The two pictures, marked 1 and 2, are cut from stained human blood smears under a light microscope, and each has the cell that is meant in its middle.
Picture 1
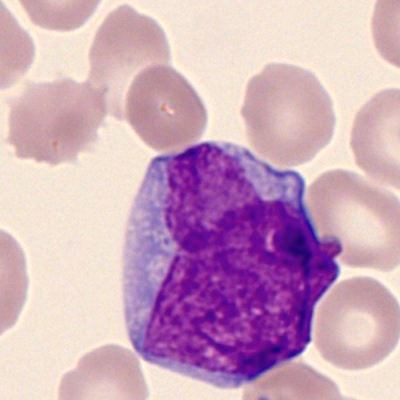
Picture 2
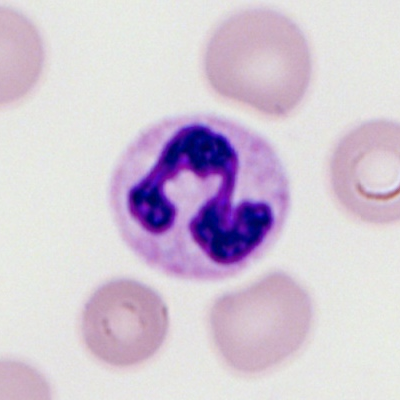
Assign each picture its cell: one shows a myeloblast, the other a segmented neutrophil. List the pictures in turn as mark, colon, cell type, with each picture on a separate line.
1: myeloblast
2: segmented neutrophil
